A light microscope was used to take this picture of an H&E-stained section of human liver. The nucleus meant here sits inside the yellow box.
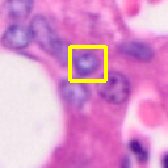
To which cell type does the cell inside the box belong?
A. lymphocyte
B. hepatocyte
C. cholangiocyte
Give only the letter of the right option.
C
